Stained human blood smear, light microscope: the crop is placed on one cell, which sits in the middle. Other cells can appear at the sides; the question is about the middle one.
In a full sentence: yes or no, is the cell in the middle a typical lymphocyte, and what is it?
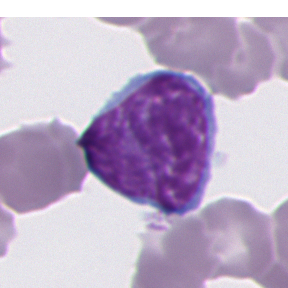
Yes, the cell in the middle is a typical lymphocyte.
